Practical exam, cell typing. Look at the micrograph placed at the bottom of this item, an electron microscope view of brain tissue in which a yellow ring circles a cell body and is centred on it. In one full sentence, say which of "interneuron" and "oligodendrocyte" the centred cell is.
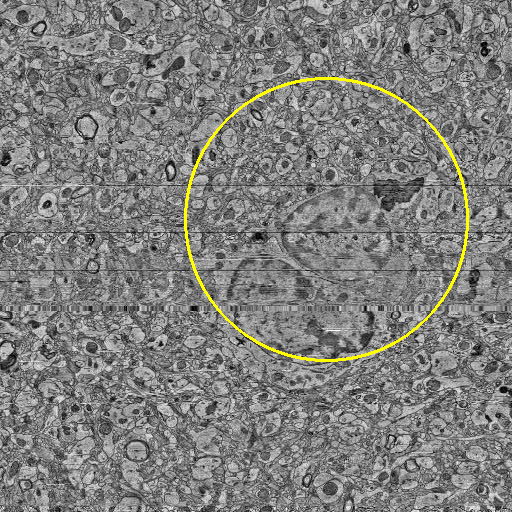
Given the options, an oligodendrocyte fits the cell whose body the yellow ring is centred on.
